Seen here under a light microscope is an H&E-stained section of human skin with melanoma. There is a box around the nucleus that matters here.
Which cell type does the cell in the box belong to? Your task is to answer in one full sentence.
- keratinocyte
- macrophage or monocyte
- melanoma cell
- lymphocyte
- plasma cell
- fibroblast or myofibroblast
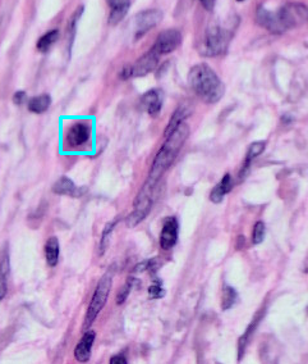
It is as a plasma cell that the cell in the box is recorded.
